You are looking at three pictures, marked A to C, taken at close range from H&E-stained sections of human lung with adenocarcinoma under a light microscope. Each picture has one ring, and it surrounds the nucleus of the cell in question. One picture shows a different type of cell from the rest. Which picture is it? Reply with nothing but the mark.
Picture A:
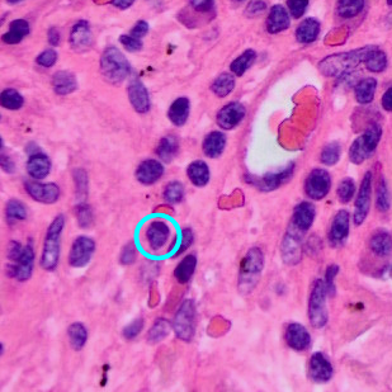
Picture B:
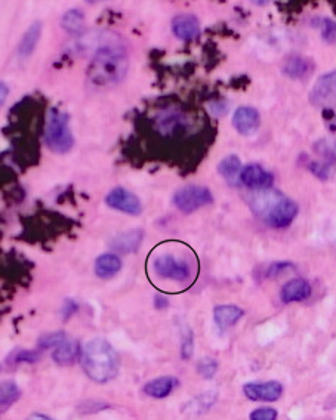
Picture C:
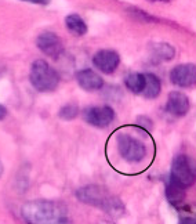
B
